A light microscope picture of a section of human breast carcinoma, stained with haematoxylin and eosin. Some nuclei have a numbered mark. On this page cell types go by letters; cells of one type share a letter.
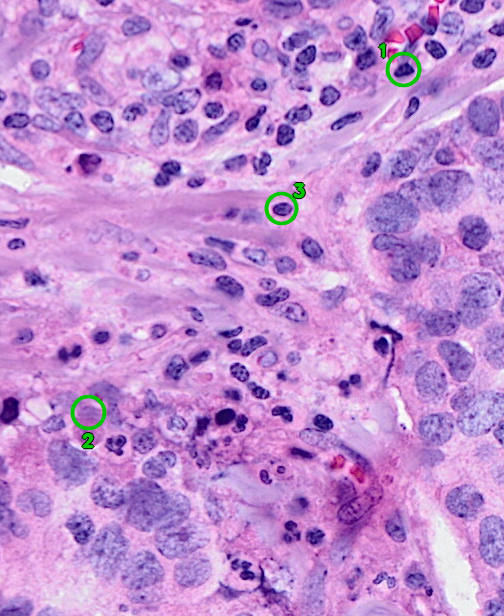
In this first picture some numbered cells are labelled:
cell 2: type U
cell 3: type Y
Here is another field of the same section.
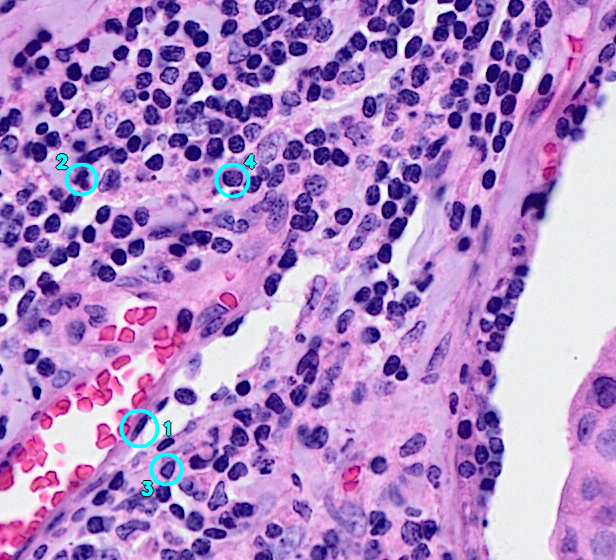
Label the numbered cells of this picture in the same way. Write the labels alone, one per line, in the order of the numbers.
type U
type Y
type Y
type Y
